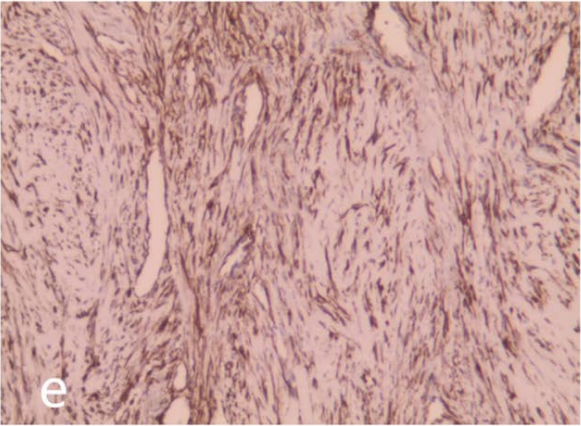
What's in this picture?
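Spindle-shaped cells with elongated nuclei arranged in interlacing bundles, their slender cytoplasm stained brown. The brown cells form streams that run in different directions across the field. Scattered elongated, empty-looking channels lined by thin walls lie among the bundles. Pale, lightly stained matrix separates the cells in looser areas.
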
